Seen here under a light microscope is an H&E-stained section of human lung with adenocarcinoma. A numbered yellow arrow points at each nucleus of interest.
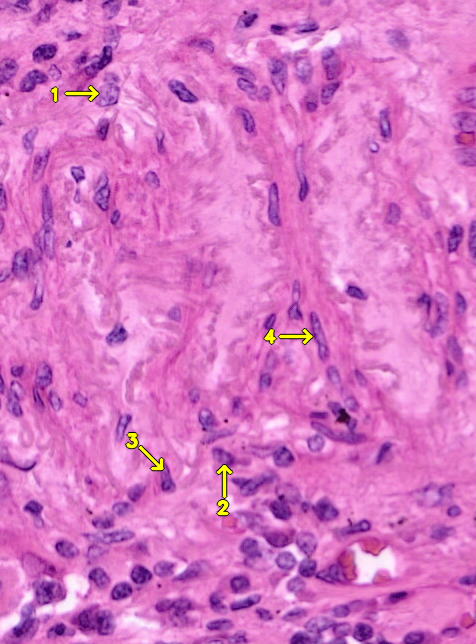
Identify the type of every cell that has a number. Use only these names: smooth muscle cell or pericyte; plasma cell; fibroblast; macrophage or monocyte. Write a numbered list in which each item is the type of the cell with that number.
1. fibroblast
2. plasma cell
3. smooth muscle cell or pericyte
4. smooth muscle cell or pericyte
